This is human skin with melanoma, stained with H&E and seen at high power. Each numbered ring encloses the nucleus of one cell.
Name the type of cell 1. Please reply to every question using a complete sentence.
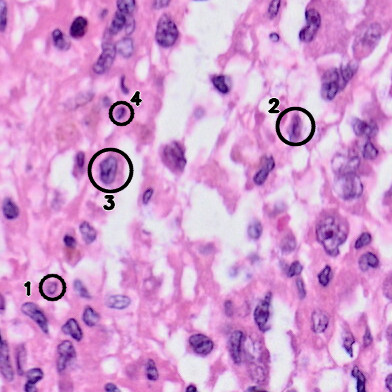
In the tissue shown, cell 1 is a macrophage or monocyte.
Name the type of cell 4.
The cell numbered 4 represents a macrophage or monocyte.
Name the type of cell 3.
The cell referenced by the number 3 is a macrophage or monocyte in this field.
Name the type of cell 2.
Cell 2 in the field is a fibroblast or myofibroblast.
